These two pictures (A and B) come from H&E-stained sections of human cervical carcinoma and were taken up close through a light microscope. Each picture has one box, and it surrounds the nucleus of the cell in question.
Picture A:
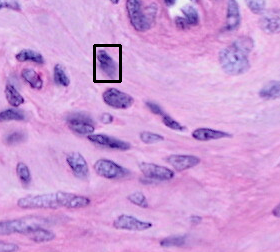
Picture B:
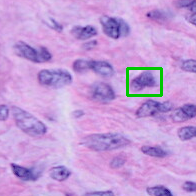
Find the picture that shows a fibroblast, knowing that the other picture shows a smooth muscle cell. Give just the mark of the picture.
A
